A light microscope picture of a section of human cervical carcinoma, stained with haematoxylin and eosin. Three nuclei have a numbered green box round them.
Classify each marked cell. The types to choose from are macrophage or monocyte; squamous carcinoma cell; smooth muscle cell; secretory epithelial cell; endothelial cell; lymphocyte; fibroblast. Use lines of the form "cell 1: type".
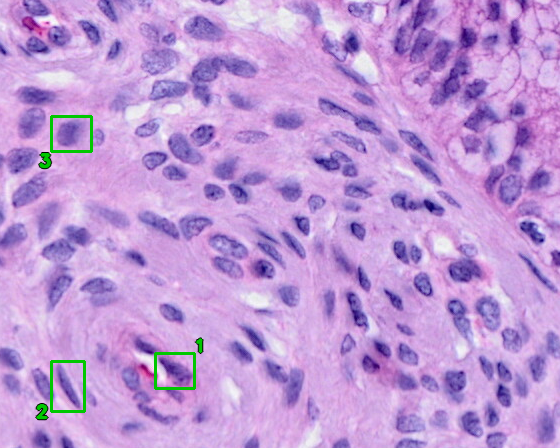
cell 1: endothelial cell
cell 2: fibroblast
cell 3: fibroblast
